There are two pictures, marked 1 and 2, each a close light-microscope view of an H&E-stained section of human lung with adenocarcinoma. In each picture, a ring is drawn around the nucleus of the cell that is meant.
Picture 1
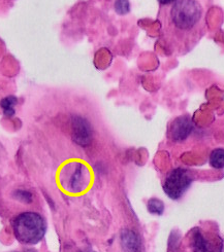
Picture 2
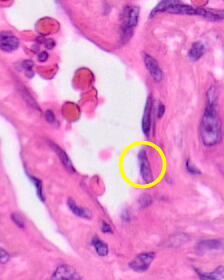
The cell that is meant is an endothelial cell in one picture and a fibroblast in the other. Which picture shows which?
1: fibroblast
2: endothelial cell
